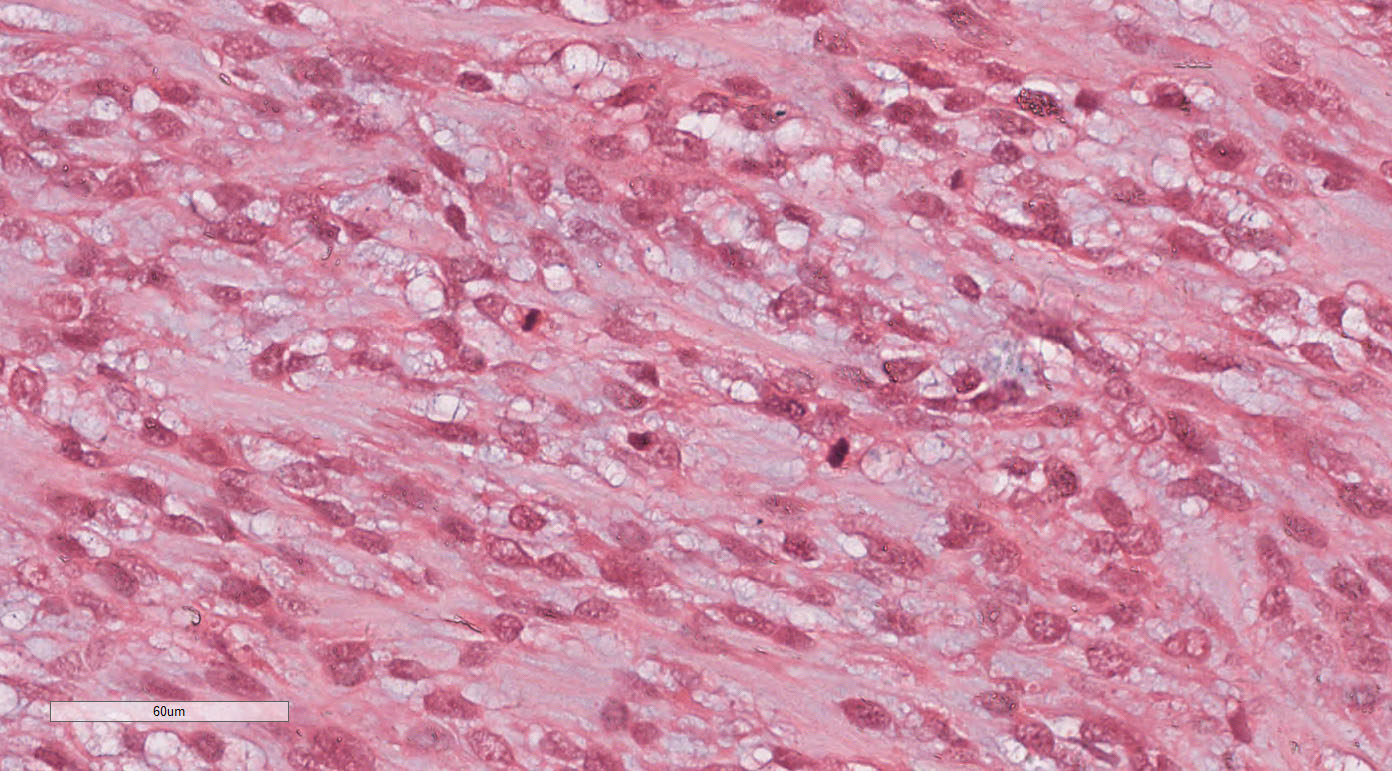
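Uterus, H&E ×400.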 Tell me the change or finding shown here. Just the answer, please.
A: Oval to spindle-shaped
